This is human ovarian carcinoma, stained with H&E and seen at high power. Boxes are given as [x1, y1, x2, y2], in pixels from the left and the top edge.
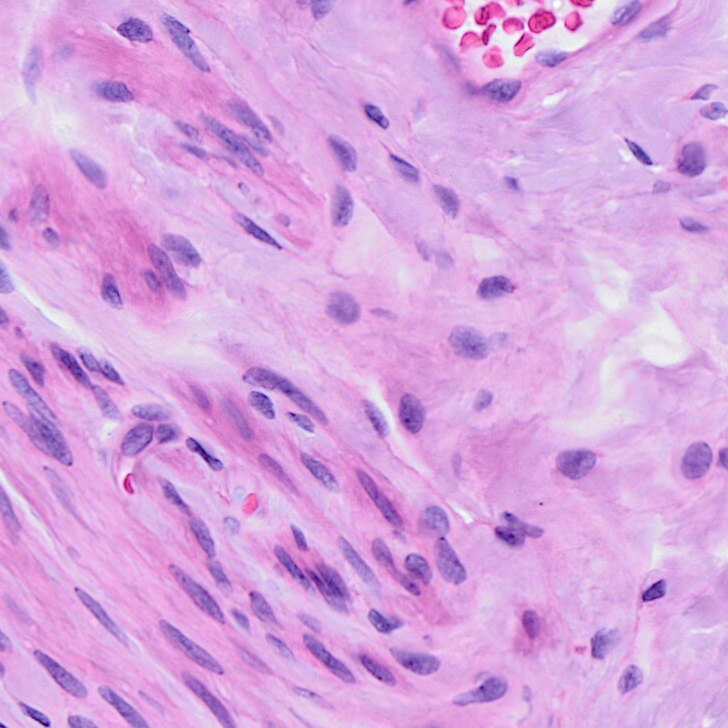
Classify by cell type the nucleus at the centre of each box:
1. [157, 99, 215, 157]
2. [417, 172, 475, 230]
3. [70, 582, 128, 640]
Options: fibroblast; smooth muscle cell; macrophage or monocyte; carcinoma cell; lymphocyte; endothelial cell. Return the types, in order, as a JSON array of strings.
["smooth muscle cell", "fibroblast", "smooth muscle cell"]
